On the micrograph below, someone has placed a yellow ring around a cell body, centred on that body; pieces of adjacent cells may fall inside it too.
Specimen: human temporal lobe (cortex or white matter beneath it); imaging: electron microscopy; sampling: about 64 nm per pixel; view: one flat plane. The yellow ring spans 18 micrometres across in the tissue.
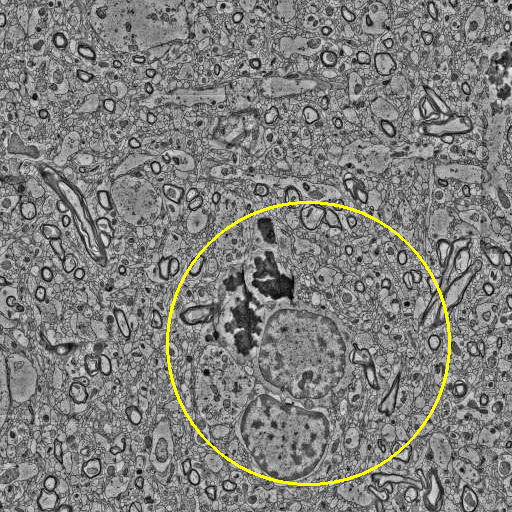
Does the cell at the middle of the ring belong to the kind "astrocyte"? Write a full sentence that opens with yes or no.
No, the micrograph shows another kind of cell at the ring's centre.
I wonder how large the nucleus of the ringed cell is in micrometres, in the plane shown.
The nucleus measures about 6 micrometers across in this plane.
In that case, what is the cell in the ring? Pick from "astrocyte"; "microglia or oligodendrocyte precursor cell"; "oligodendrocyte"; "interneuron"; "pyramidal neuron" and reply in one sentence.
The correct answer is that the cell is an oligodendrocyte.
